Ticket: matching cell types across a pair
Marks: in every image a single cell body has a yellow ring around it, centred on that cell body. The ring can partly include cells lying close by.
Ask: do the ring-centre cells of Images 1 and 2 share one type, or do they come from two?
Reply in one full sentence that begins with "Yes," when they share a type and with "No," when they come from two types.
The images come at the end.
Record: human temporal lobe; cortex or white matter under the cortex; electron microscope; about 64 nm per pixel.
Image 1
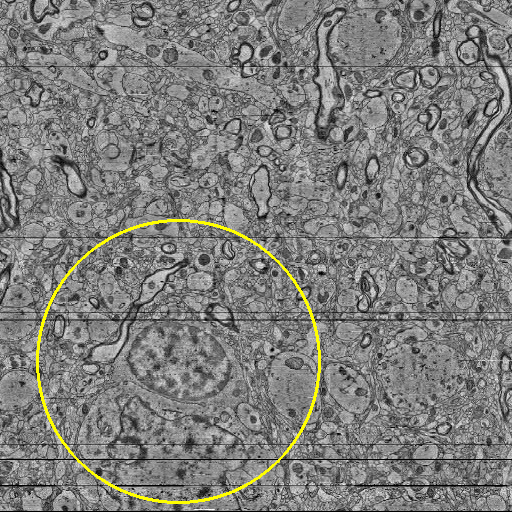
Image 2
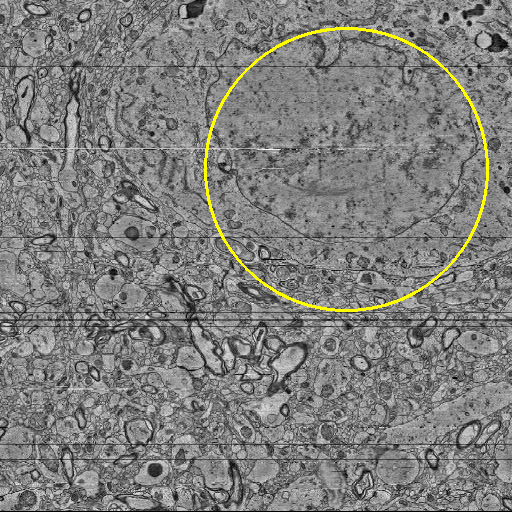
No, the cells in the centres of the rings in Image 1 and Image 2 come from two types.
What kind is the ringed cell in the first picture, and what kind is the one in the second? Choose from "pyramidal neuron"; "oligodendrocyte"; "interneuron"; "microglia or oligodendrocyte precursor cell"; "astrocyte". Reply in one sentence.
The first cell is an oligodendrocyte; the second is a pyramidal neuron.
